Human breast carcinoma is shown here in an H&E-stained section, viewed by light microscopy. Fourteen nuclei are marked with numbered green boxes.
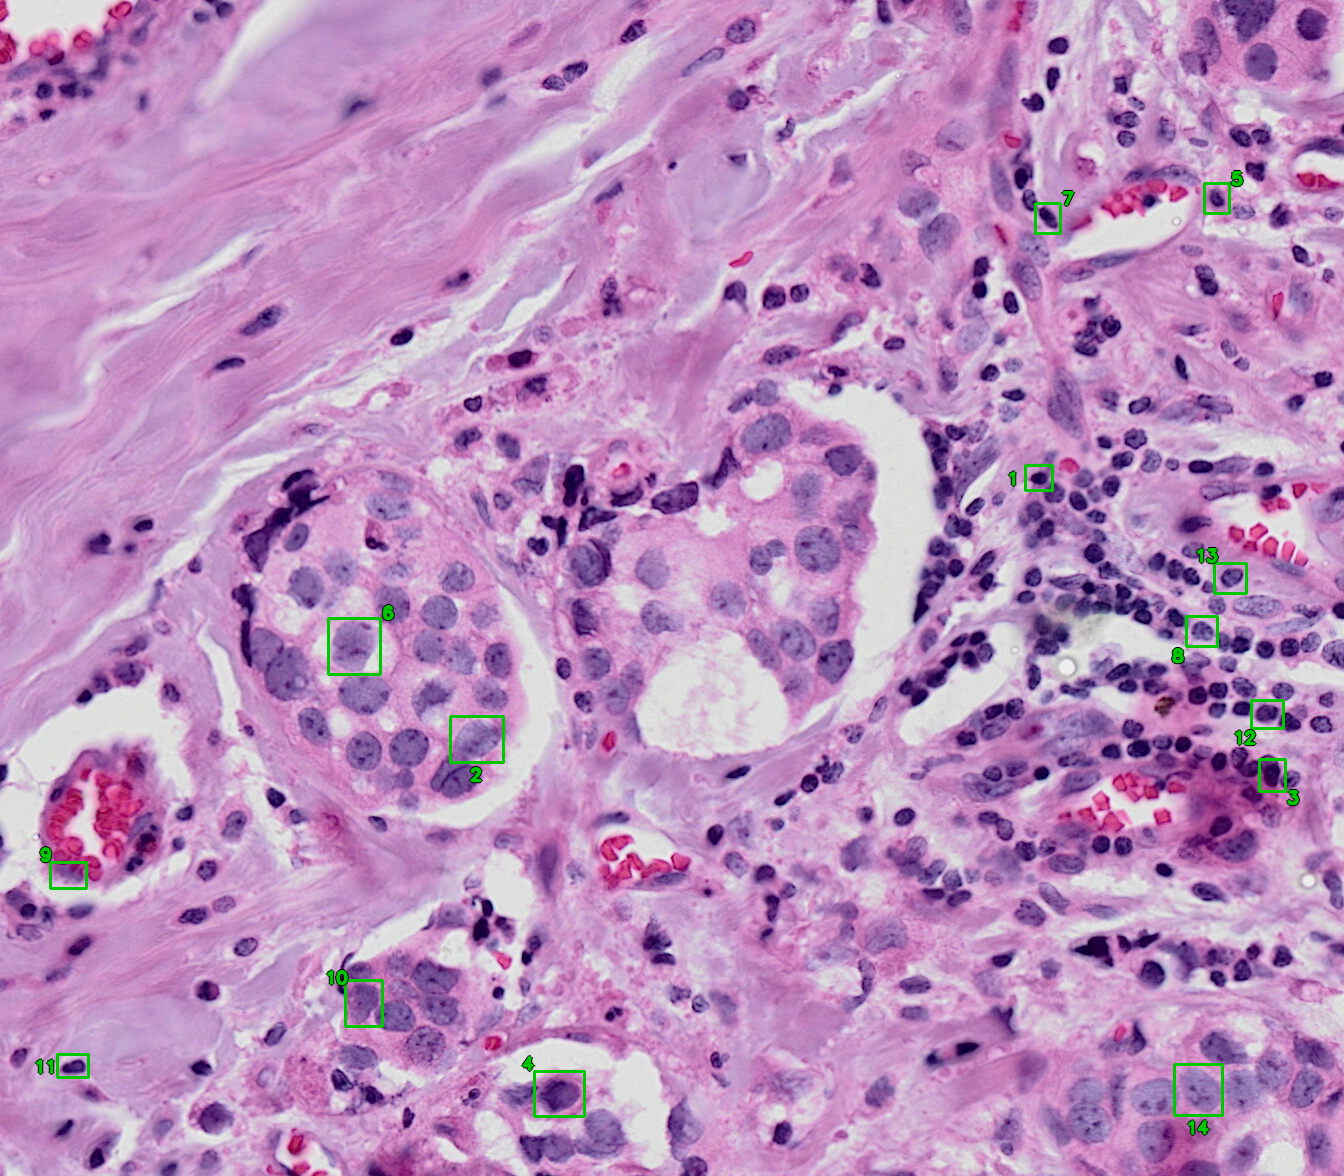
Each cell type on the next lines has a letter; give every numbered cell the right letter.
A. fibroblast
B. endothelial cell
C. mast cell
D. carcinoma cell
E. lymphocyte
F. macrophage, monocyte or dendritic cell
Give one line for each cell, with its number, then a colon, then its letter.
1: E
2: D
3: E
4: D
5: E
6: D
7: E
8: E
9: B
10: D
11: E
12: E
13: E
14: D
